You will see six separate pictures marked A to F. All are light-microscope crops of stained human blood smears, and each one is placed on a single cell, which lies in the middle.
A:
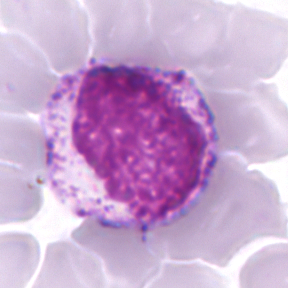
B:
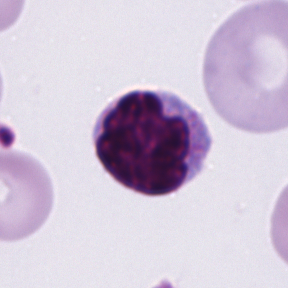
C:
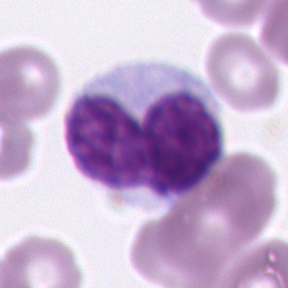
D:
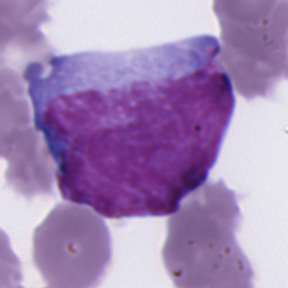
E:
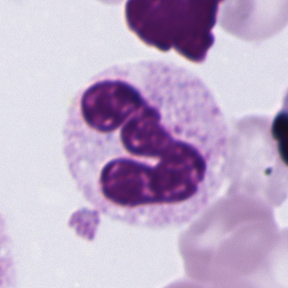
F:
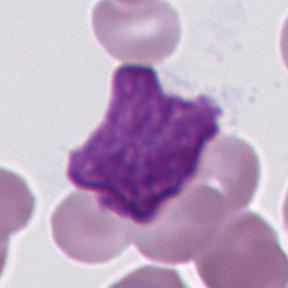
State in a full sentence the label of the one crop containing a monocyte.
The crop that shows a monocyte is crop C.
